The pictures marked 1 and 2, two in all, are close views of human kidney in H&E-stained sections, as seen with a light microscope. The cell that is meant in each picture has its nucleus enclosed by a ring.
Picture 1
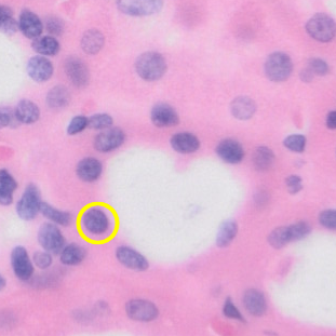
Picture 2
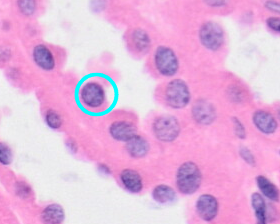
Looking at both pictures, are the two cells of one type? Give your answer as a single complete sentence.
Yes, both are “loop of Henle or distal tubule cells”.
